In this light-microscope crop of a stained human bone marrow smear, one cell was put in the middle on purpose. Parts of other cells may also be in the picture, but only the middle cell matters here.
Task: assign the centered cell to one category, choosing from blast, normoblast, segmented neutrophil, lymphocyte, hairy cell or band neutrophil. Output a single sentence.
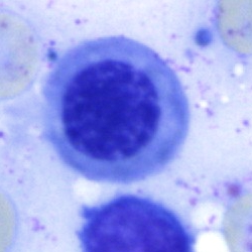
In the centre of this crop there is a normoblast.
